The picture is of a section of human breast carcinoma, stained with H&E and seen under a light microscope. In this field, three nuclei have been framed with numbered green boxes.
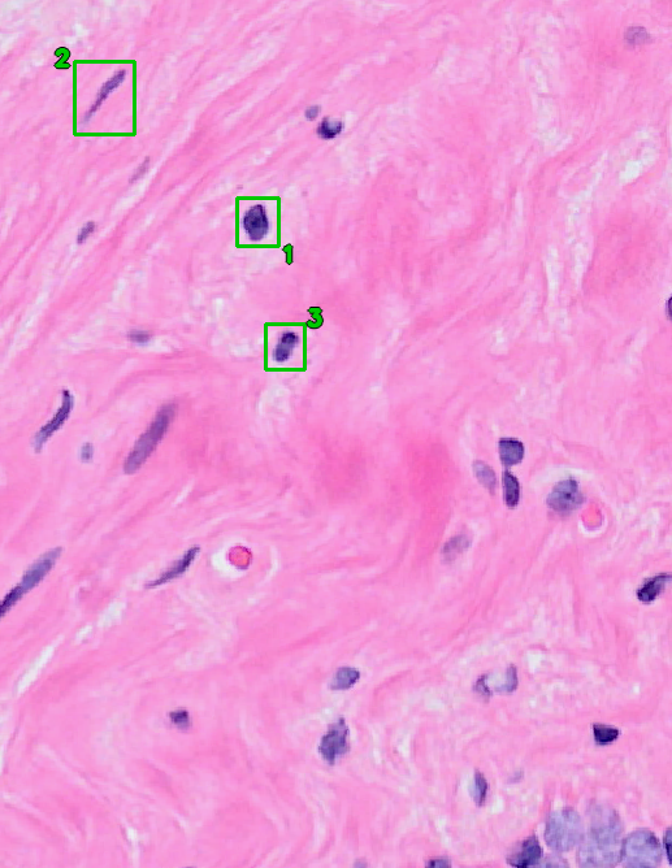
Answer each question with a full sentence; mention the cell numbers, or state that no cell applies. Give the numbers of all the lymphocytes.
Cells 1 and 3 are recognised here as lymphocytes.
